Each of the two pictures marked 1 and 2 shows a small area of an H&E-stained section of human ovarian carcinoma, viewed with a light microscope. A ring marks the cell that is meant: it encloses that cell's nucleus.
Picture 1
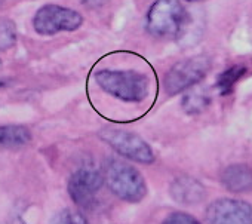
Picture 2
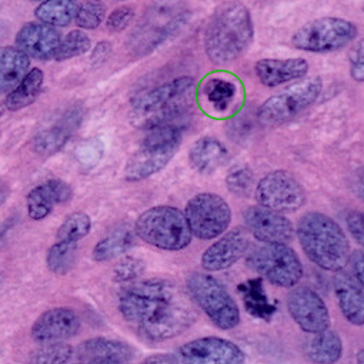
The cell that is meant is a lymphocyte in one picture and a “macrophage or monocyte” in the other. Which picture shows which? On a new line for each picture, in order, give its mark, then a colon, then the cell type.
1: macrophage or monocyte
2: lymphocyte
